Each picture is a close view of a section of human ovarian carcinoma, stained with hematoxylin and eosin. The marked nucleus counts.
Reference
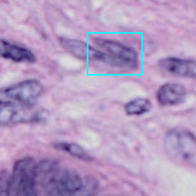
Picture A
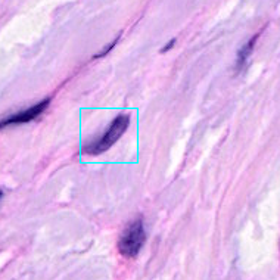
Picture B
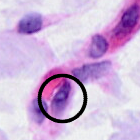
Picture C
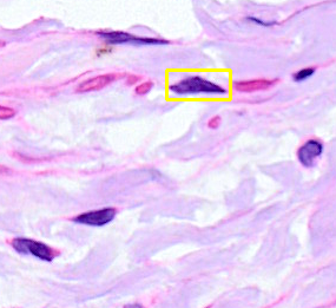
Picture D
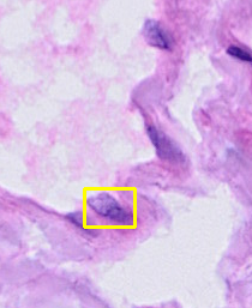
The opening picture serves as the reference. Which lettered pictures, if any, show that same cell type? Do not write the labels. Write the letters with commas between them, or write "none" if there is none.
A, C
